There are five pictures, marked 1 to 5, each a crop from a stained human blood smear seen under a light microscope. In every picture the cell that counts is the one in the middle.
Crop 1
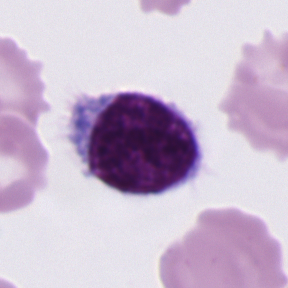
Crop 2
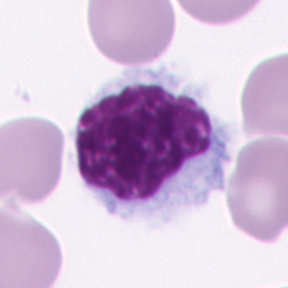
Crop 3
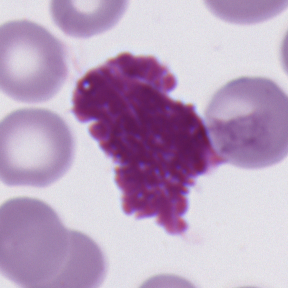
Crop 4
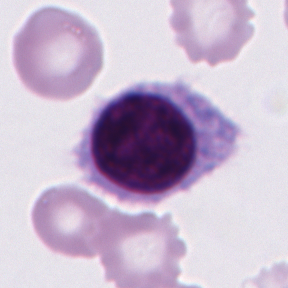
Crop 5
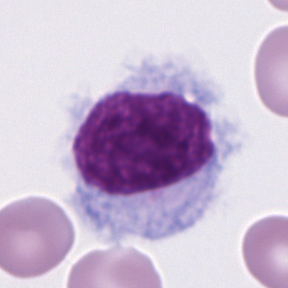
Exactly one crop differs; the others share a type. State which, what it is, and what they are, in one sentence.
The different crop is 3; it is a smudge cell, and the others all show hairy cells.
